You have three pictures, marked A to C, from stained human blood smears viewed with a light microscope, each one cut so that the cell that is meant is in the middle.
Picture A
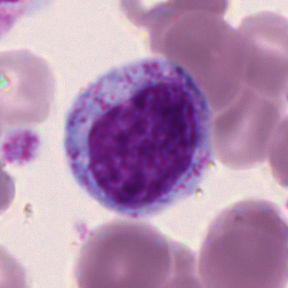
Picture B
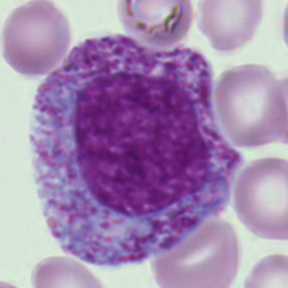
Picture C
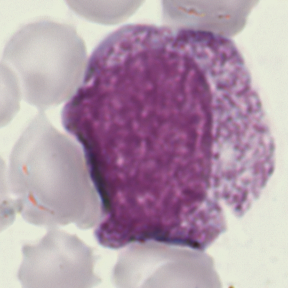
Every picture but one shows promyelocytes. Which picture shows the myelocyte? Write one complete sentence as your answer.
The picture with the myelocyte is A.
